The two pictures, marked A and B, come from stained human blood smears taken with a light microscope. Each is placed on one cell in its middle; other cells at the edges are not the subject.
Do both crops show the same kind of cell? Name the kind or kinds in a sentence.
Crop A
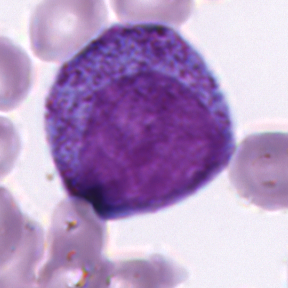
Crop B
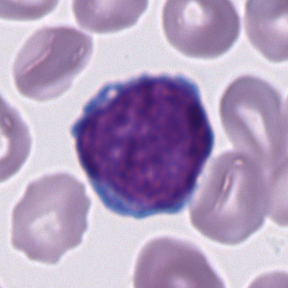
No, crop A represents a promyelocyte, and crop B represents a myeloblast.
